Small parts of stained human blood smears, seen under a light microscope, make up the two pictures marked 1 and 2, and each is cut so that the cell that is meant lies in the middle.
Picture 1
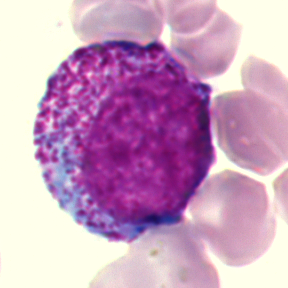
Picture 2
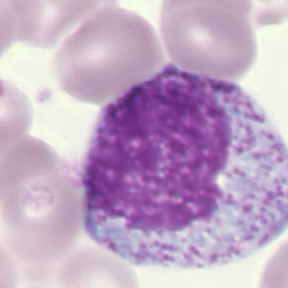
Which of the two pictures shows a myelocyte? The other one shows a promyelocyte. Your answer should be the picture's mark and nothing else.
2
